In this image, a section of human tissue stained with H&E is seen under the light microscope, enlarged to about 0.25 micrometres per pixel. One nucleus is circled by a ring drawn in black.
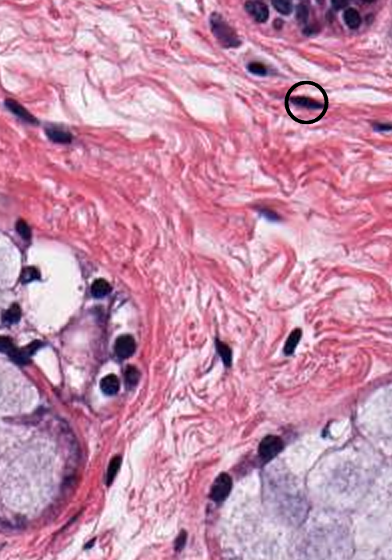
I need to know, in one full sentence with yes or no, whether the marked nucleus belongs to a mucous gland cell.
No, it is not a mucous gland cell but a supporting cell to which the marked nucleus is assigned.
